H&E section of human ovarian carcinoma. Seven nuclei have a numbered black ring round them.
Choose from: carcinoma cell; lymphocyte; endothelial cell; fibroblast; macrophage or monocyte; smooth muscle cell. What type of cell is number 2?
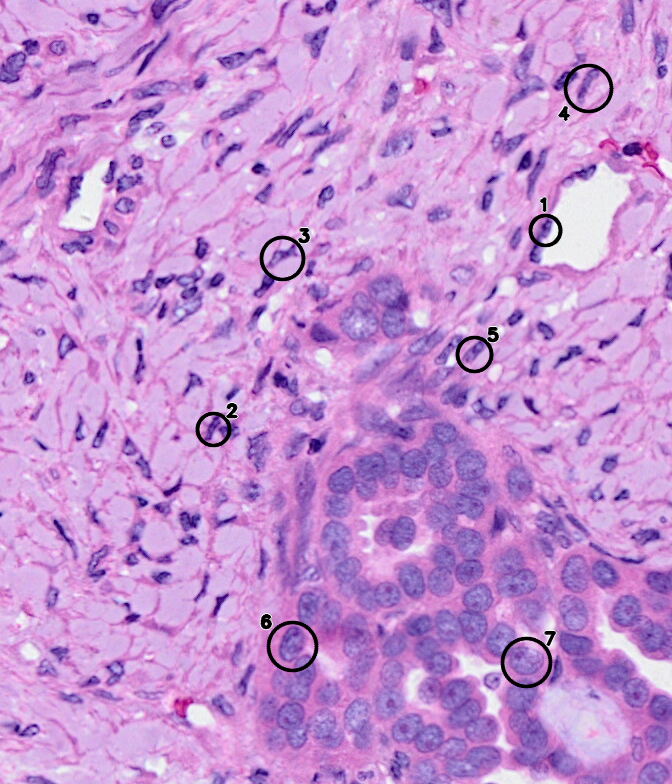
fibroblast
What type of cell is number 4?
fibroblast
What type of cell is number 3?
fibroblast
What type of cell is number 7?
carcinoma cell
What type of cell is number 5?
fibroblast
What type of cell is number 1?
endothelial cell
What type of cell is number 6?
carcinoma cell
